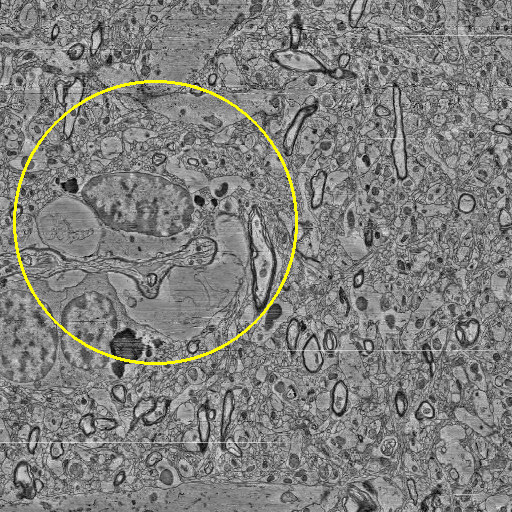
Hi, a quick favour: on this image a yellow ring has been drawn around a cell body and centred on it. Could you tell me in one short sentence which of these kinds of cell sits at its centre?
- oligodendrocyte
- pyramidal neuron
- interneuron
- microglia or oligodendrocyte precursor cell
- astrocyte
The ring is centred on a microglial cell or oligodendrocyte precursor cell.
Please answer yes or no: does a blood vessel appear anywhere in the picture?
Yes, a vessel shows somewhere in the image.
